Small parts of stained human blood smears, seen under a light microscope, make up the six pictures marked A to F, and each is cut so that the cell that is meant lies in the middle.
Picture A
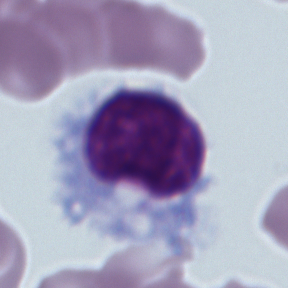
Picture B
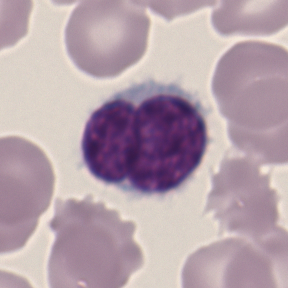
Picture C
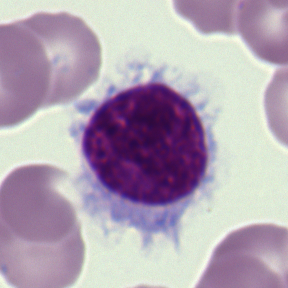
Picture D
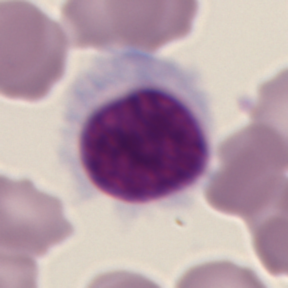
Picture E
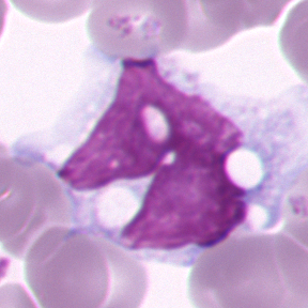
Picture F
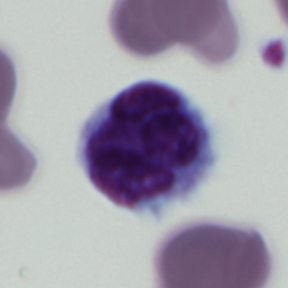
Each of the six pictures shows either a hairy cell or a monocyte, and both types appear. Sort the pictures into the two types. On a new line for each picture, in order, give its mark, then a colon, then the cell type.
A: hairy cell
B: hairy cell
C: hairy cell
D: hairy cell
E: monocyte
F: monocyte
